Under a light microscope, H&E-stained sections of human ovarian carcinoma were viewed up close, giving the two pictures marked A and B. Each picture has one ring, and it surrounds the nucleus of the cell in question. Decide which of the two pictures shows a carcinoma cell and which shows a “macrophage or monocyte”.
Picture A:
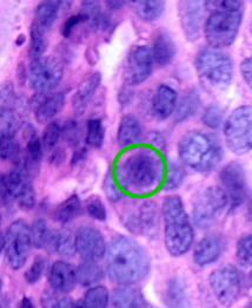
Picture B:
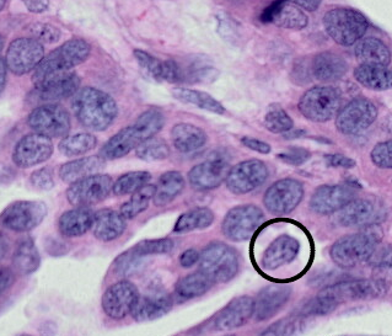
A: carcinoma cell
B: macrophage or monocyte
